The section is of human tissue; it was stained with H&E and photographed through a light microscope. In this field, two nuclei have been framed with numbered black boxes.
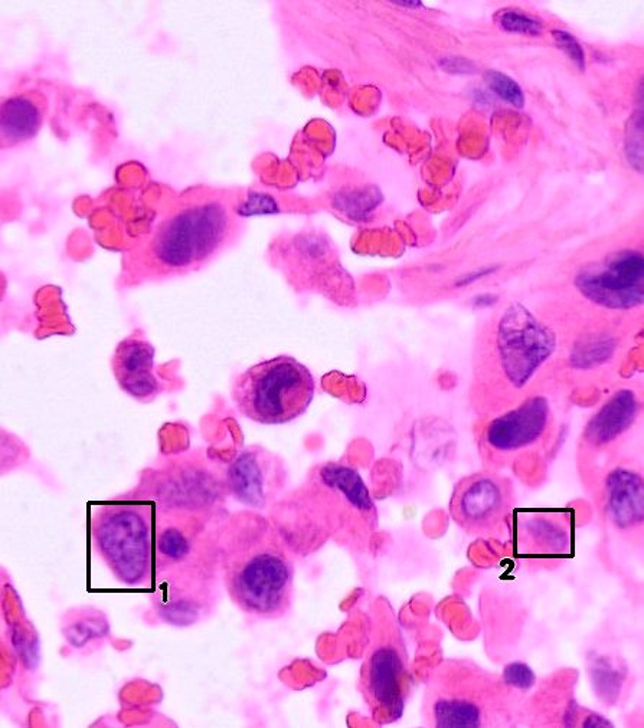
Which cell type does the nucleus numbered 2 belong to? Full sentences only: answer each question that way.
The cell referenced by the number 2 is a macrophage or monocyte in this field.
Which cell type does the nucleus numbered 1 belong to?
The expected answer is that cell 1 is a carcinoma cell.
